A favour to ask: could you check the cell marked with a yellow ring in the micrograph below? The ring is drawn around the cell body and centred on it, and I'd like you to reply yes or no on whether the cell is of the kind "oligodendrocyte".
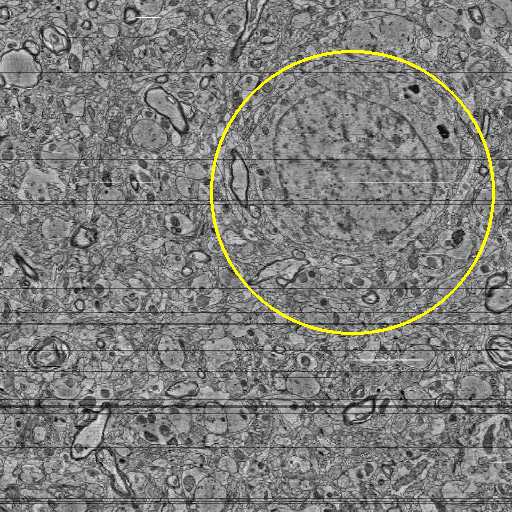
no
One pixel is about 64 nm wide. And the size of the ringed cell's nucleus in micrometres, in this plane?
About 11 by 9 micrometers for the nucleus, in this plane.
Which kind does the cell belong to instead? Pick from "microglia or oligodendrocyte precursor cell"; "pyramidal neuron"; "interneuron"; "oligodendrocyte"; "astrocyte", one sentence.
It is an interneuron that the ring is centred on.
